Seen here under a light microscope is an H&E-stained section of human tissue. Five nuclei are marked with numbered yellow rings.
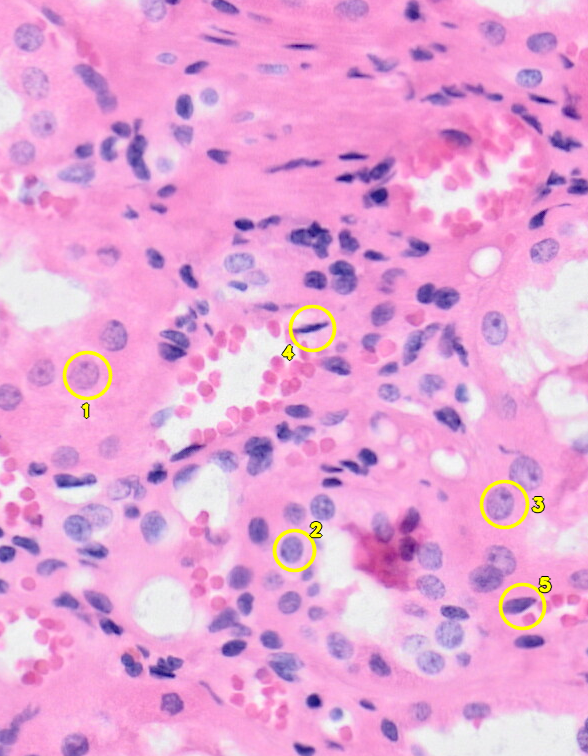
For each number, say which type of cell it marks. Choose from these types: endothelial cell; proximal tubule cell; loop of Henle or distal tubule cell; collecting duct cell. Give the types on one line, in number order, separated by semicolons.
proximal tubule cell; collecting duct cell; proximal tubule cell; endothelial cell; endothelial cell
